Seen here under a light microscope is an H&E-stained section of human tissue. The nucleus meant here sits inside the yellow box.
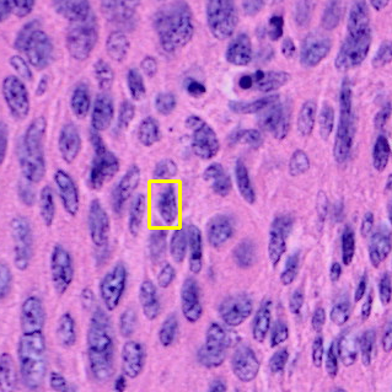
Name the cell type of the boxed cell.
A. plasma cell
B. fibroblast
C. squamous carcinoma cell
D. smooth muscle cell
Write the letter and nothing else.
C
